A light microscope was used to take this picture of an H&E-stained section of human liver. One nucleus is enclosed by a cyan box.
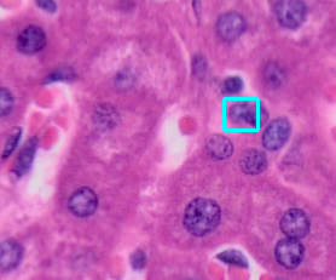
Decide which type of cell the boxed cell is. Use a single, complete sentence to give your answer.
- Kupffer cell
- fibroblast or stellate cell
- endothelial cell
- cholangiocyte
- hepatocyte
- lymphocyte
In this preparation, the boxed cell is a cholangiocyte.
